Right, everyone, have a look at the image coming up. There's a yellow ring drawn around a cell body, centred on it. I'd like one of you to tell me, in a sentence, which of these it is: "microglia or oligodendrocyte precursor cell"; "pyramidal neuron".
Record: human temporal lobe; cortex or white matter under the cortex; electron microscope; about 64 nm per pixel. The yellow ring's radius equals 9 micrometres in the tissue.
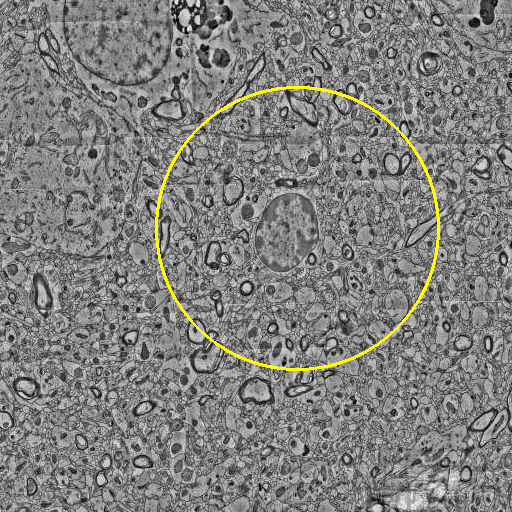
The yellow ring sits on a microglial cell or oligodendrocyte precursor cell.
